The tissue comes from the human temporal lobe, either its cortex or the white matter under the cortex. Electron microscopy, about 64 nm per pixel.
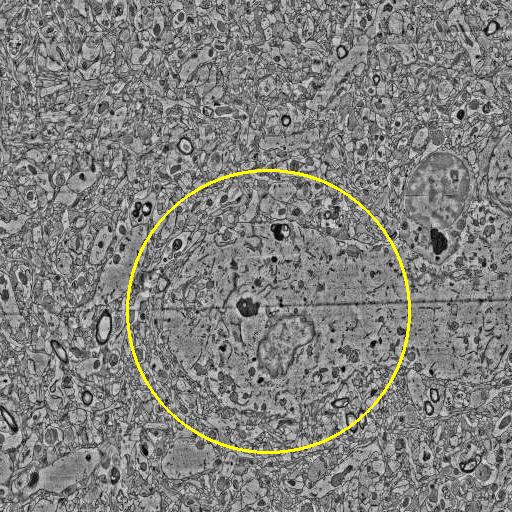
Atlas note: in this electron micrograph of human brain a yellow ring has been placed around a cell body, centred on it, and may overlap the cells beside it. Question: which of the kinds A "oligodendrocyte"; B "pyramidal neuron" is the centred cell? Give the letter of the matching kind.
B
